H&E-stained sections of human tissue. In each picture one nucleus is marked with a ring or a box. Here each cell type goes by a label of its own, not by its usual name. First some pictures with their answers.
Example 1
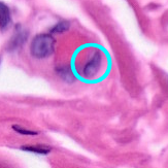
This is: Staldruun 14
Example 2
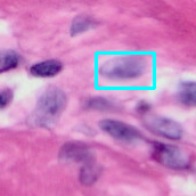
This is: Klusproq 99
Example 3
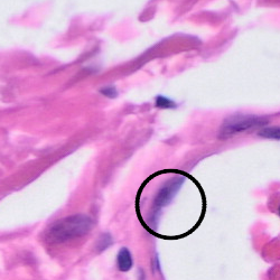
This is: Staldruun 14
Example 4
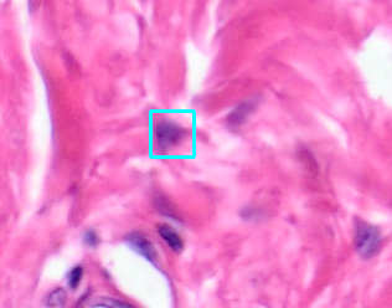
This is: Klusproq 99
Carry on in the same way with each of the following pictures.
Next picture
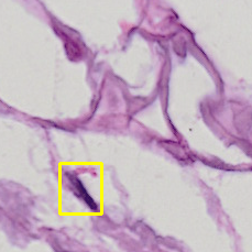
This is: Klusproq 99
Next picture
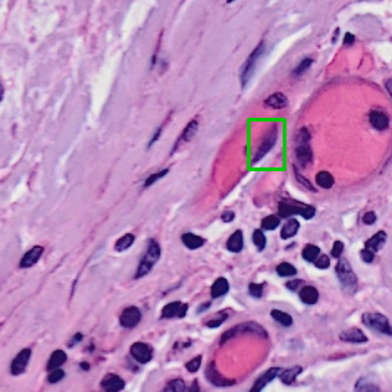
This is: Staldruun 14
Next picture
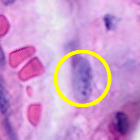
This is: Klusproq 99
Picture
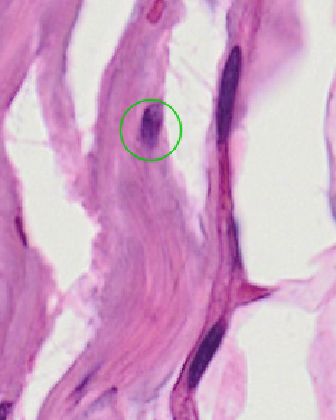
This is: Klusproq 99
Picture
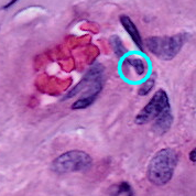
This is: Staldruun 14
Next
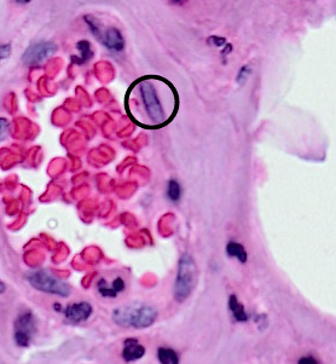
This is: Staldruun 14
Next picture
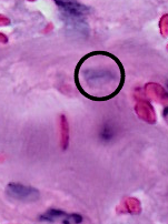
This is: Klusproq 99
